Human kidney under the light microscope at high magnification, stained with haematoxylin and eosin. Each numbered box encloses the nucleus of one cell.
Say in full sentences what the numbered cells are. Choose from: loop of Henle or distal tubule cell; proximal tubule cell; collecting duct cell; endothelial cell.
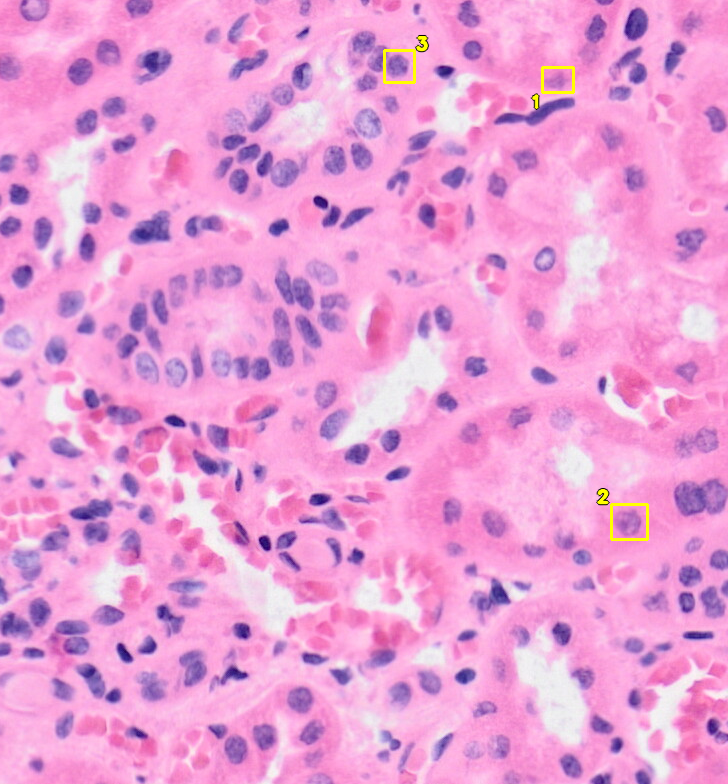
Cell 1 is a proximal tubule cell, cell 2 is a proximal tubule cell and cell 3 is a collecting duct cell.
